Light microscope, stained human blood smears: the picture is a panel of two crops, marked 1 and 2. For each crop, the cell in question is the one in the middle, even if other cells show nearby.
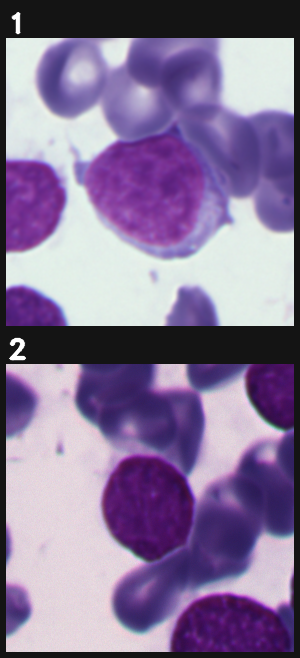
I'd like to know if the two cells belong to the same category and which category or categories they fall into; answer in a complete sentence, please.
Yes, for both crops, the central cells are myeloblasts.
